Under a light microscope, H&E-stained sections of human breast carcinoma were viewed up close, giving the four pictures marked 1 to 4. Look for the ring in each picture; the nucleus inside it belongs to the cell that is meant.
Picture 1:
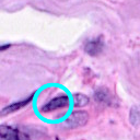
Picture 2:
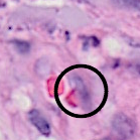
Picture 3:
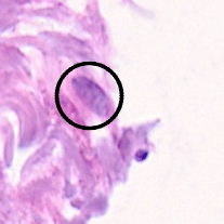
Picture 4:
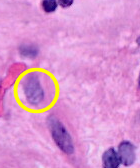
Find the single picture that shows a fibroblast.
3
